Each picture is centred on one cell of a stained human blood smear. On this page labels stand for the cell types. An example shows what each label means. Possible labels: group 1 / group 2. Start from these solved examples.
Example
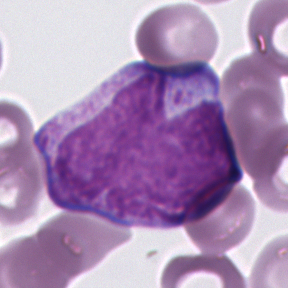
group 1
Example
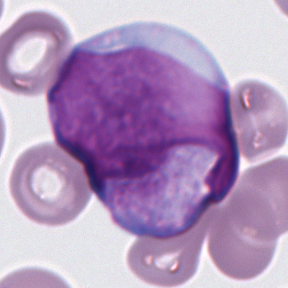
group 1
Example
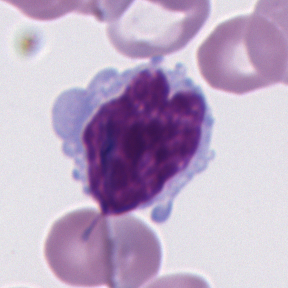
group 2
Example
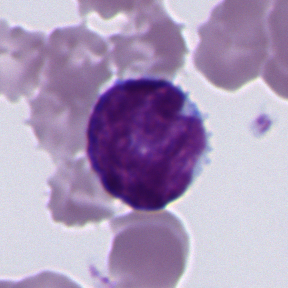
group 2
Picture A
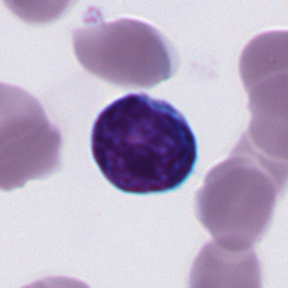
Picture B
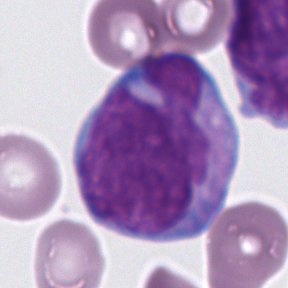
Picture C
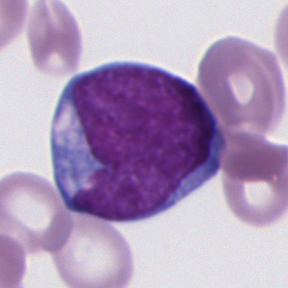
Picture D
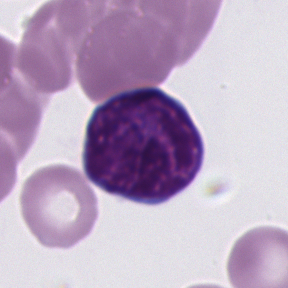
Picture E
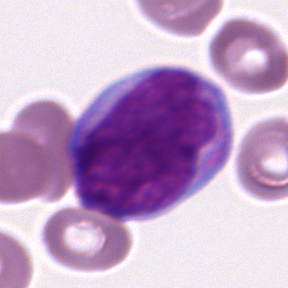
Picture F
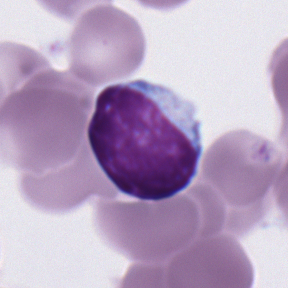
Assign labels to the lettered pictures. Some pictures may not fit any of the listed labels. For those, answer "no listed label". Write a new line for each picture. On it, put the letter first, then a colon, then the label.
A: group 2
B: group 1
C: no listed label
D: no listed label
E: group 1
F: group 2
